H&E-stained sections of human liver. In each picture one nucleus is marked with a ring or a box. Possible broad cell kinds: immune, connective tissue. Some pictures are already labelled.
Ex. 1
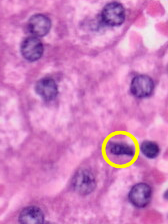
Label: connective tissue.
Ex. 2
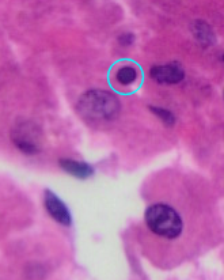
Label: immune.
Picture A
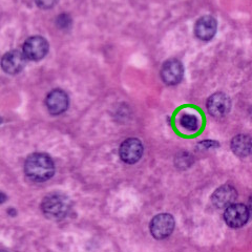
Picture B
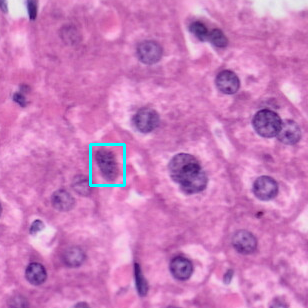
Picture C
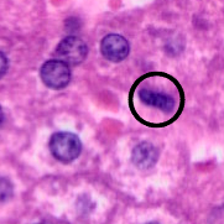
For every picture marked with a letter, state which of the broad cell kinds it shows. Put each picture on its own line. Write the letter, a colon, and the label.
A: immune.
B: immune.
C: connective tissue.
